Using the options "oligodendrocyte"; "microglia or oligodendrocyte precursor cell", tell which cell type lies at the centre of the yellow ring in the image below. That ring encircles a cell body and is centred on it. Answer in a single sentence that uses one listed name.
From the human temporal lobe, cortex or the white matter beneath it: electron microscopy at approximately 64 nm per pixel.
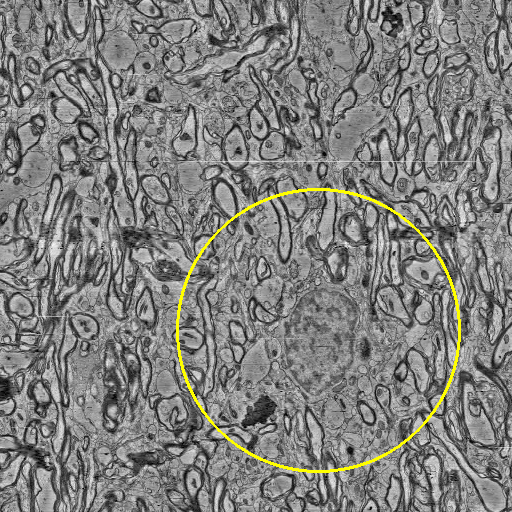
At the centre of the yellow ring lies the body of an oligodendrocyte.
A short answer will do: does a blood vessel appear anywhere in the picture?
No.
